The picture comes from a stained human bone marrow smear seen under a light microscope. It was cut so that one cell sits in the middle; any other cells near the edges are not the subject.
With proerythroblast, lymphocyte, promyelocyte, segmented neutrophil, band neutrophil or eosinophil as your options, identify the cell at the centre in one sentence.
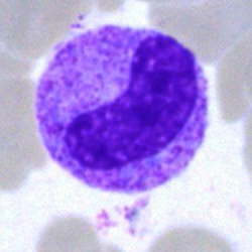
Classification of the middle cell gives a band neutrophil.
